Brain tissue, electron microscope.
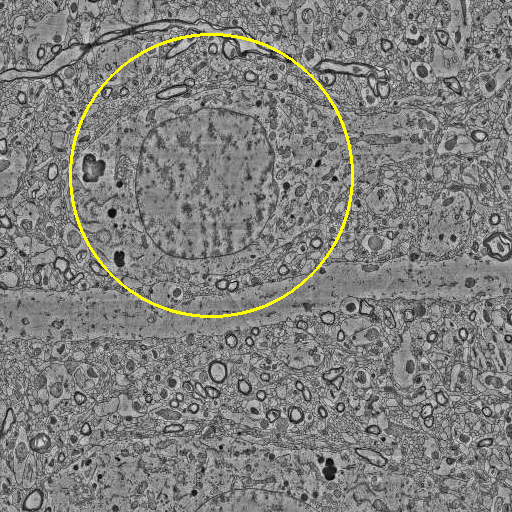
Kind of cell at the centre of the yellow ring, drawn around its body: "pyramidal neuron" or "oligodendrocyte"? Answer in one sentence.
The ring's centre falls on a pyramidal neuron.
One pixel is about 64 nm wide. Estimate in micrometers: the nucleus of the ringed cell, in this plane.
In this plane, the nucleus measures approximately 10 micrometres across.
